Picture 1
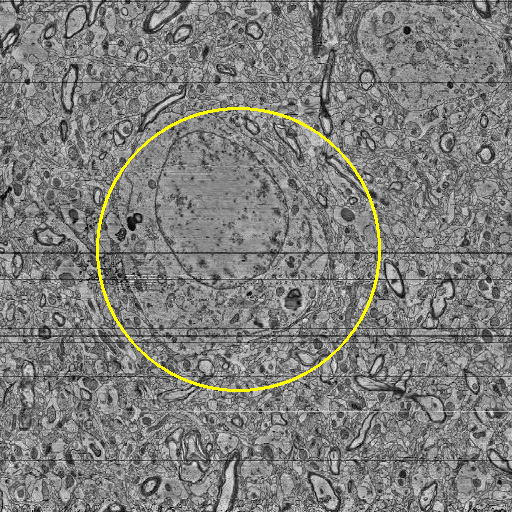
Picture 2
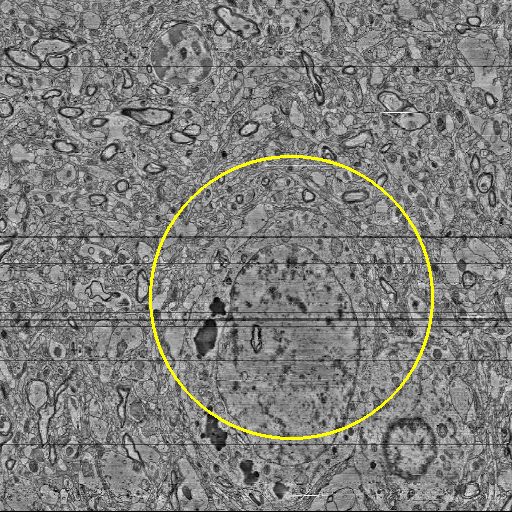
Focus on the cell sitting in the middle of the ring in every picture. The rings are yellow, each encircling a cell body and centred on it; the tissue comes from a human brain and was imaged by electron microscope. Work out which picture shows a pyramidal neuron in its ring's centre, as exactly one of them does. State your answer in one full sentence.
In picture 1, the ring is centred on the cell in question.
